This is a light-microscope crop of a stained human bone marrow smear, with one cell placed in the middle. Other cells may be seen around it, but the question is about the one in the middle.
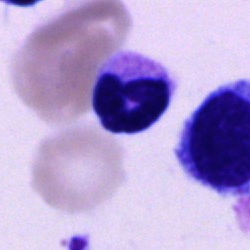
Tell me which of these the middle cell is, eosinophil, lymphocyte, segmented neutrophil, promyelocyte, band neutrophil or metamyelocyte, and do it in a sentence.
The cell marked by its central position in the crop is a segmented neutrophil.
